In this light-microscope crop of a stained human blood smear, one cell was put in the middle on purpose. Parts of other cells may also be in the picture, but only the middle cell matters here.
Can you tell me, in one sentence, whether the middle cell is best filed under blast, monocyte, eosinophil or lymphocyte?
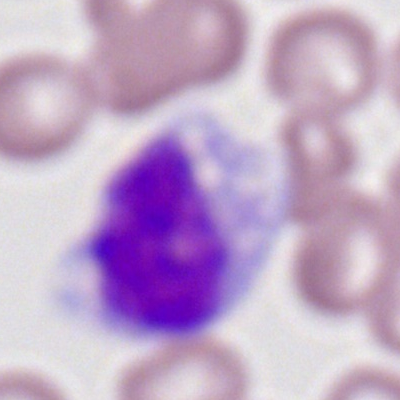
In the middle of this smear crop, the cell is a monocyte.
